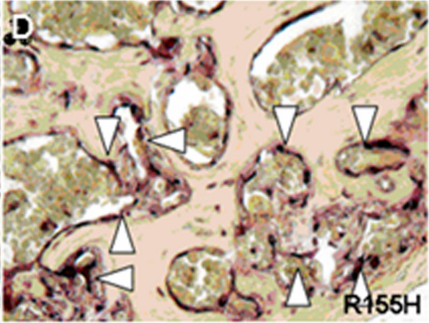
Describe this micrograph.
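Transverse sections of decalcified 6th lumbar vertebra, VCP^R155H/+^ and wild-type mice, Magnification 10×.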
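Pale pink trabeculae of bone branch across the field. Spaces between them are filled with densely packed, small, yellowish-brown marrow cells. Many dark red cells sit flattened along the edges of the trabeculae and line the marrow spaces. These dark red cells on the bone surfaces are osteoclasts.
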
